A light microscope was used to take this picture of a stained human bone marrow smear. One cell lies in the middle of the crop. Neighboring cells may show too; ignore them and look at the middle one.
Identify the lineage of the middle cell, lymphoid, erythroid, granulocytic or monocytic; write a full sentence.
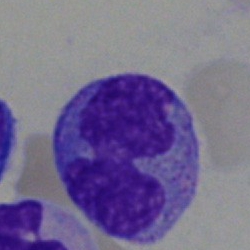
The cell at the middle of this crop is assigned to the monocytic lineage.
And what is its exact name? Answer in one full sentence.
For this crop, the cell in the middle is a monocyte.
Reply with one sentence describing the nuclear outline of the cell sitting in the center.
The cell carries one compact nucleus shaped round, oval or like a kidney.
